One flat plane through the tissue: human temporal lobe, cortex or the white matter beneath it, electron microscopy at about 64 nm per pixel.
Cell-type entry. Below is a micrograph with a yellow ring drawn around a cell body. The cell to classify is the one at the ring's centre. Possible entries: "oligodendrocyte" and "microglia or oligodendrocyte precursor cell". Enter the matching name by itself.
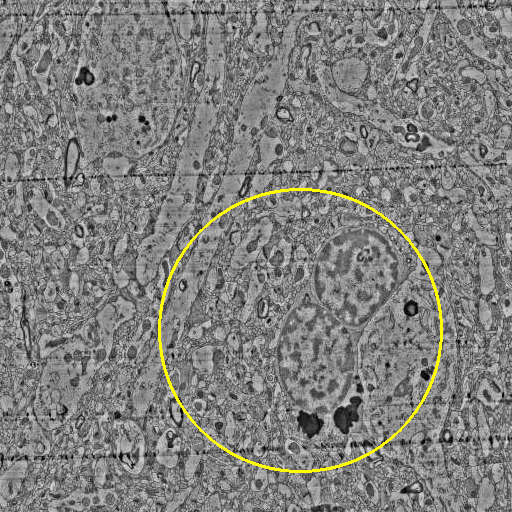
oligodendrocyte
